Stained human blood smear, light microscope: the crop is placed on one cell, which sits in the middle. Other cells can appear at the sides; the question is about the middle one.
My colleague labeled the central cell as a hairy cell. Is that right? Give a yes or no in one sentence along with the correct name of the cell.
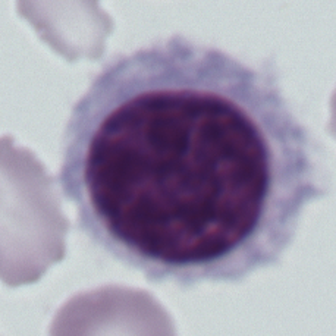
Yes, the cell at the middle of the frame is a hairy cell.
